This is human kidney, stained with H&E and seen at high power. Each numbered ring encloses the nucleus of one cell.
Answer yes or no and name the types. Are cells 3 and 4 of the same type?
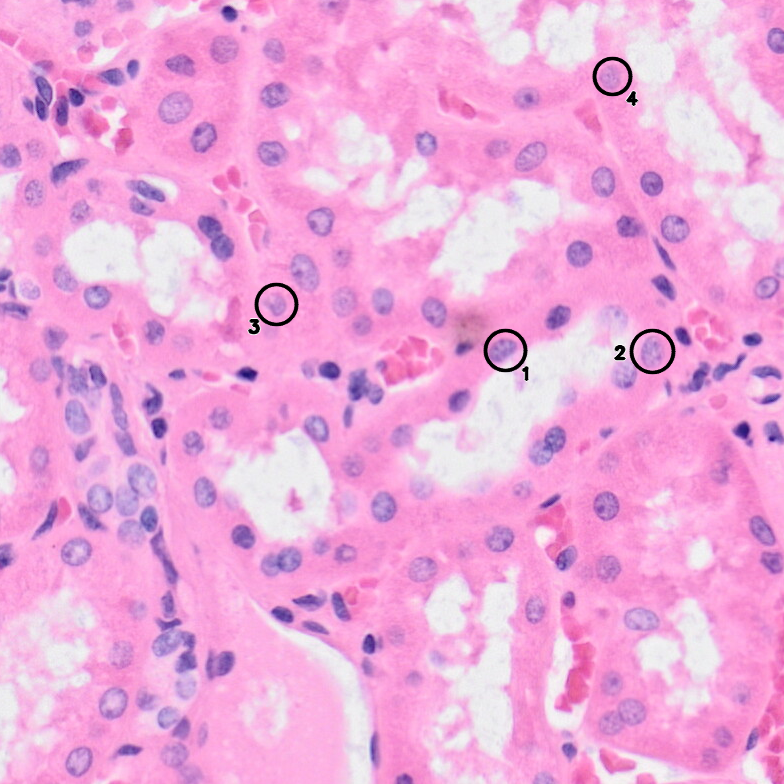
Yes, cells 3 and 4 are both proximal tubule cells and thus of one type.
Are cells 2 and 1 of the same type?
Yes, both cell 2 and cell 1 are loop of Henle or distal tubule cells.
